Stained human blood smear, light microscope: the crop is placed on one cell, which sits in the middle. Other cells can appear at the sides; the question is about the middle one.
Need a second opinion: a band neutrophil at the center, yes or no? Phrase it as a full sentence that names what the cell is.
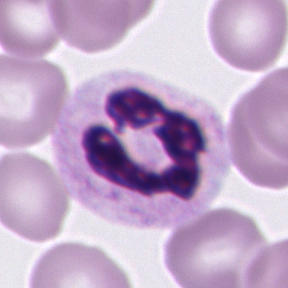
No, in this crop the middle cell is a segmented neutrophil, not a band neutrophil.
